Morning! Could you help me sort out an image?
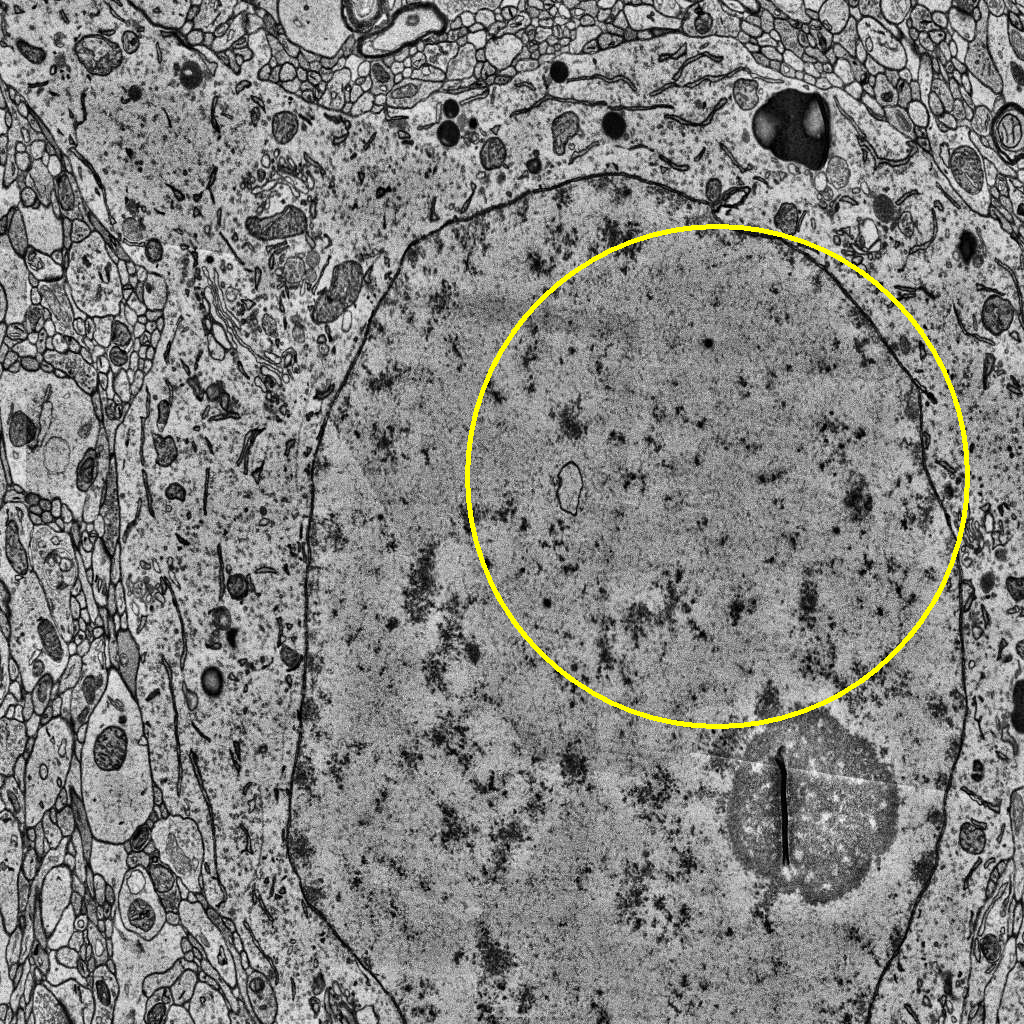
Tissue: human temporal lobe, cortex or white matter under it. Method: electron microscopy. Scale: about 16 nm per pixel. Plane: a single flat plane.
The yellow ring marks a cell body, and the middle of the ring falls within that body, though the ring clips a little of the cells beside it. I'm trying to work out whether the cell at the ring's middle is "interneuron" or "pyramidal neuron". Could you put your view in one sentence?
The cell body at the ring's middle is that of a pyramidal neuron.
